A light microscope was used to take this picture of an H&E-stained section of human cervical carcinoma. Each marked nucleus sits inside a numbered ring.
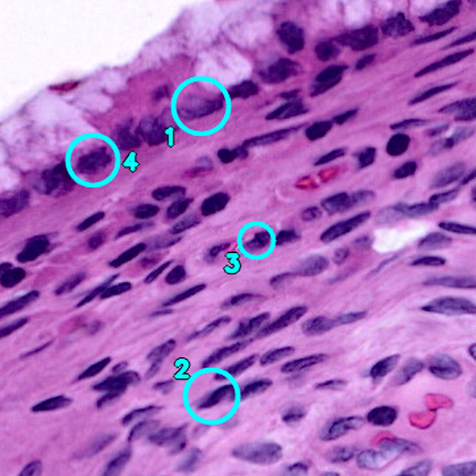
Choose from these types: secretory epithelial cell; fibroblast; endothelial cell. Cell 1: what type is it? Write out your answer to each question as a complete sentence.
The cell to which the number 1 is assigned is a secretory epithelial cell.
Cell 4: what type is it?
Among the marked nuclei, number 4 belongs to a secretory epithelial cell.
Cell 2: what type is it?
Of the numbered cells, the one labelled 2 is a fibroblast.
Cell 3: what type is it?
Within this field of view, the cell labelled 3 is an endothelial cell.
